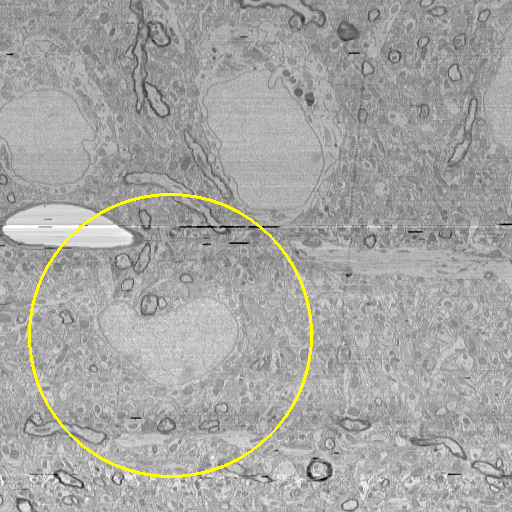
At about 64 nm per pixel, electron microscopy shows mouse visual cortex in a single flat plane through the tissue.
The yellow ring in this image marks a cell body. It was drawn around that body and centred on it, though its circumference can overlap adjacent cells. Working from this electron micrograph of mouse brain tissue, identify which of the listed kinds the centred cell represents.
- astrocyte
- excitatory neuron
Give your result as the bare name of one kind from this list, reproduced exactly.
astrocyte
